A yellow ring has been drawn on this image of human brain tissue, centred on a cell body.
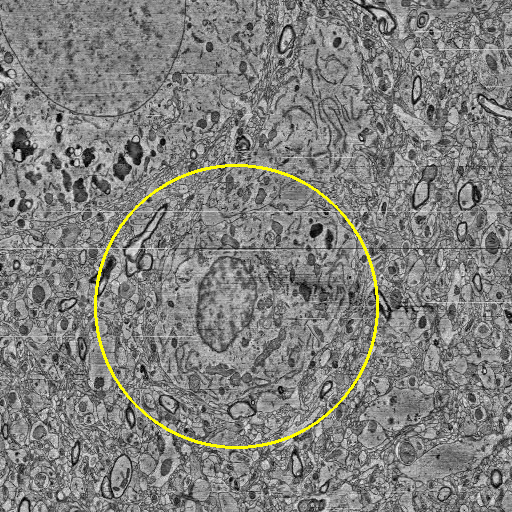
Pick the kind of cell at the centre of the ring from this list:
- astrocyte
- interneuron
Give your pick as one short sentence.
The centre of the ring holds an interneuron.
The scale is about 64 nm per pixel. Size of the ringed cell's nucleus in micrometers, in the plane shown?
The nucleus of the ringed cell is clearly longer than it is wide in this plane, about 6 by 4 micrometres.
